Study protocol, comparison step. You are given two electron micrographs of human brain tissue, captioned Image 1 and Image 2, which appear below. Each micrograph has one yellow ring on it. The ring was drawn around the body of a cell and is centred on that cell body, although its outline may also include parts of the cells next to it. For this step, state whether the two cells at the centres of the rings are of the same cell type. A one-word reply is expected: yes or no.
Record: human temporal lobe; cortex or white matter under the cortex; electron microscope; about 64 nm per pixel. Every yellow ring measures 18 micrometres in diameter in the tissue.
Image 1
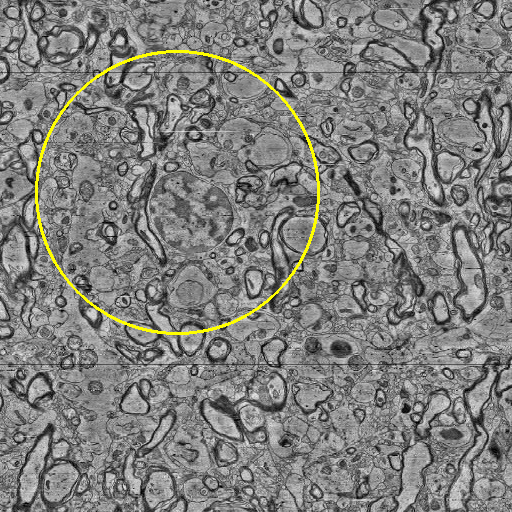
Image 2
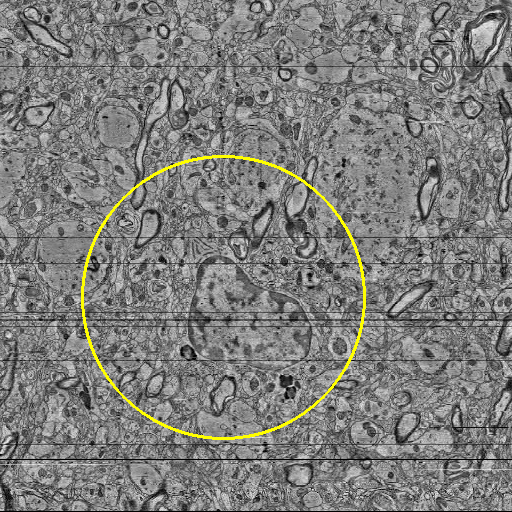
yes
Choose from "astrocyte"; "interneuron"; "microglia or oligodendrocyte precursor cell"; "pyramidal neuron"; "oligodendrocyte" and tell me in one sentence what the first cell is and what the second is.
The second cell is a microglial cell or oligodendrocyte precursor cell, just as the first is.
